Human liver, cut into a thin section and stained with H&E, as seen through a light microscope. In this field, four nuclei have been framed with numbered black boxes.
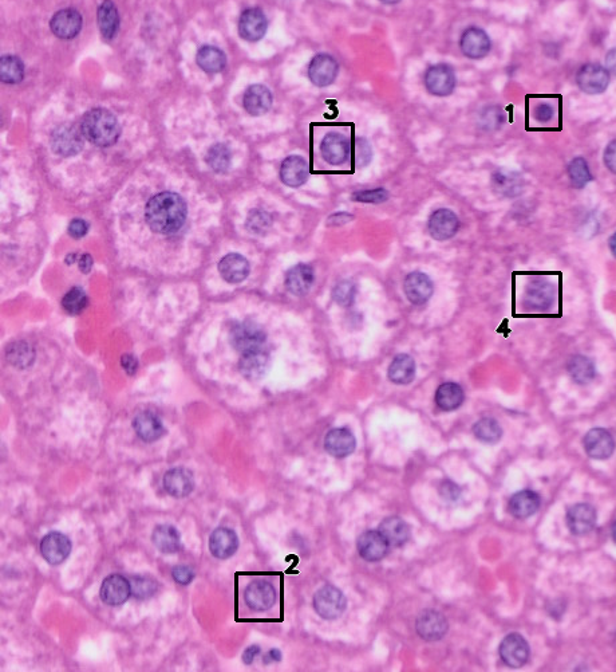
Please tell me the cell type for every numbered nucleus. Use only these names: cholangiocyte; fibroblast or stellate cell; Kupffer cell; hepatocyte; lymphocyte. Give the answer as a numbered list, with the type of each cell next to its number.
1. lymphocyte
2. hepatocyte
3. hepatocyte
4. hepatocyte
